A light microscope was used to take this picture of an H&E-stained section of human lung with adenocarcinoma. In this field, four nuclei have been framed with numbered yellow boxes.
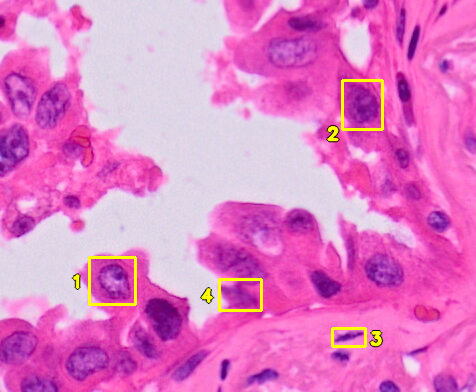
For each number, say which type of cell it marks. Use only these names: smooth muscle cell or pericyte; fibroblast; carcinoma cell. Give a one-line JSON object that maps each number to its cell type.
{"1": "carcinoma cell", "2": "carcinoma cell", "3": "fibroblast", "4": "carcinoma cell"}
